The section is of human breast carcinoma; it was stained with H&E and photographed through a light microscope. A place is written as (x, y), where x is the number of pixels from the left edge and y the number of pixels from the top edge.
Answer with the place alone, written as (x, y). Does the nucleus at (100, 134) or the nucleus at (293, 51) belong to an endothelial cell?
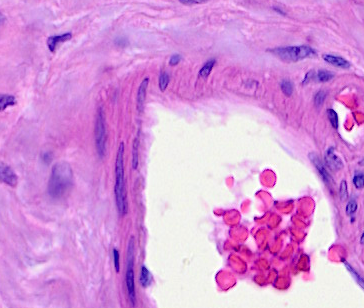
(100, 134)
